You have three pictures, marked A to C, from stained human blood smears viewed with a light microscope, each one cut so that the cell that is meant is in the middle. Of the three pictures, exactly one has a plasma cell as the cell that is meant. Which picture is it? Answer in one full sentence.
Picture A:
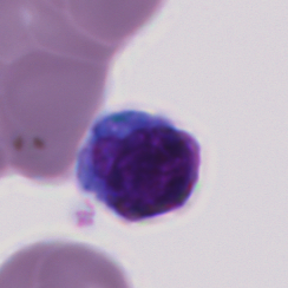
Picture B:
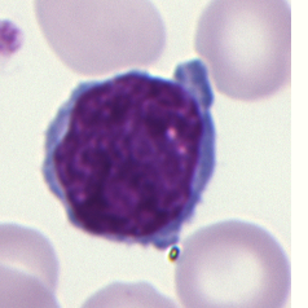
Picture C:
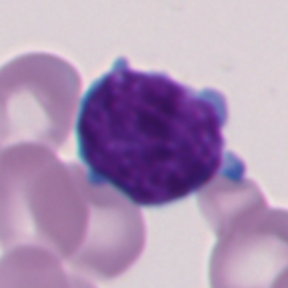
The plasma cell is the one in picture A.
